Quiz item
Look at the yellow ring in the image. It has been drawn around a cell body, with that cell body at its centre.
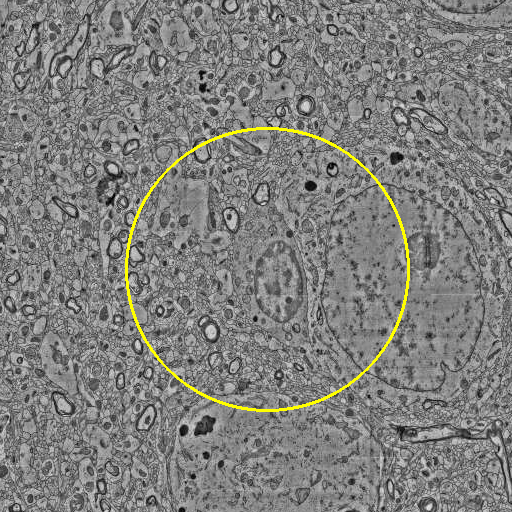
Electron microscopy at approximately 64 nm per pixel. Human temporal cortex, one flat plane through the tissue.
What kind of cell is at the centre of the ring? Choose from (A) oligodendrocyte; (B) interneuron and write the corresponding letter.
A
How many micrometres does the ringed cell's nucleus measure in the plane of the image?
Roughly 5 by 3 micrometres; in this plane, clearly longer than it is wide.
